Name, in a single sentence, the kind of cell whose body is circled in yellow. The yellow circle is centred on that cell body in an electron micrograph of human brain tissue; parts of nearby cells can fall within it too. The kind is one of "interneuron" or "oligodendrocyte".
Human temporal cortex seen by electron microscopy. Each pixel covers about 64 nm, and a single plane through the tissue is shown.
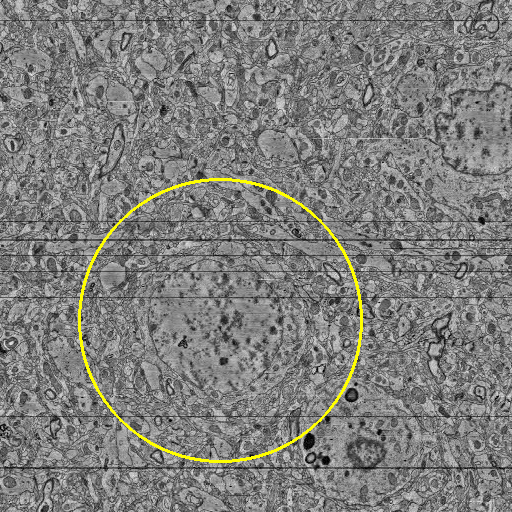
The circled cell body belongs to an interneuron.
